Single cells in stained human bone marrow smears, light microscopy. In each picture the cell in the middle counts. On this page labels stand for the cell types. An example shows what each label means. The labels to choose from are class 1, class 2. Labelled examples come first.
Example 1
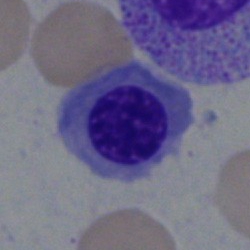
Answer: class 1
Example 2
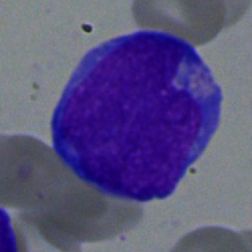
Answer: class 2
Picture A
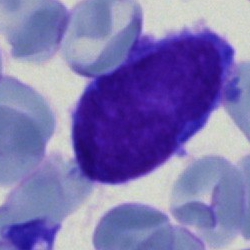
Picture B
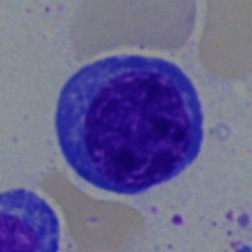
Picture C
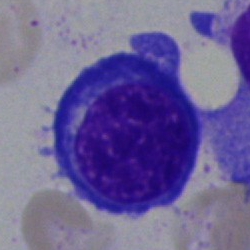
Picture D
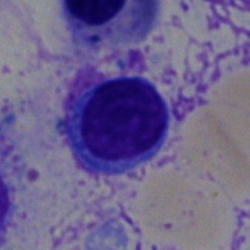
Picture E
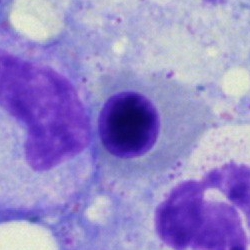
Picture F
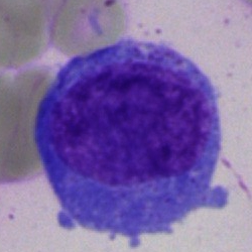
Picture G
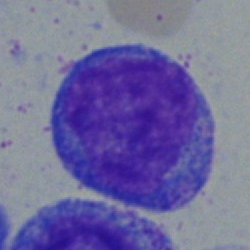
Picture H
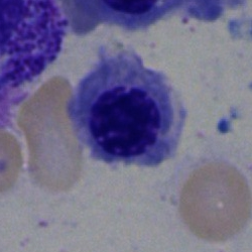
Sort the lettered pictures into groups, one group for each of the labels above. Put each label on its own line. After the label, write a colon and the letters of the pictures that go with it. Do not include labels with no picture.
class 1: B, C, D, E, H
class 2: A, F, G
